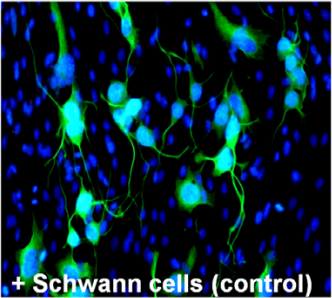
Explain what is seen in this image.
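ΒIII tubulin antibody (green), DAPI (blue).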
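Many neurons with green-filled, rounded or spindle-shaped cell bodies and large blue nuclei are spread over the field, several giving off long, thin green processes that wind between neighbouring cells. Underneath, a crowded layer of small oval blue nuclei with no green marks a continuous sheet of supporting cells. The neurons lie singly or in small clusters on this sheet.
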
